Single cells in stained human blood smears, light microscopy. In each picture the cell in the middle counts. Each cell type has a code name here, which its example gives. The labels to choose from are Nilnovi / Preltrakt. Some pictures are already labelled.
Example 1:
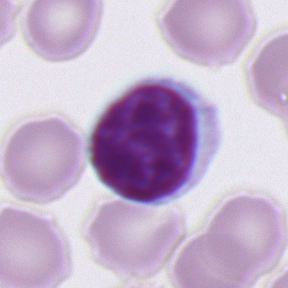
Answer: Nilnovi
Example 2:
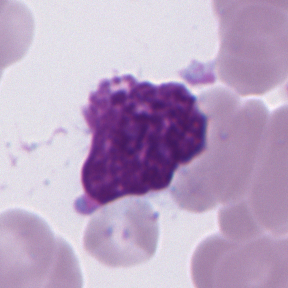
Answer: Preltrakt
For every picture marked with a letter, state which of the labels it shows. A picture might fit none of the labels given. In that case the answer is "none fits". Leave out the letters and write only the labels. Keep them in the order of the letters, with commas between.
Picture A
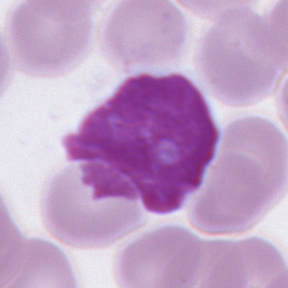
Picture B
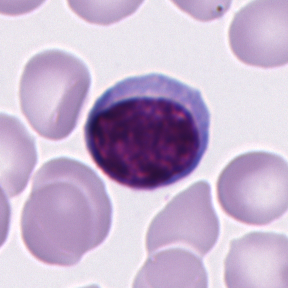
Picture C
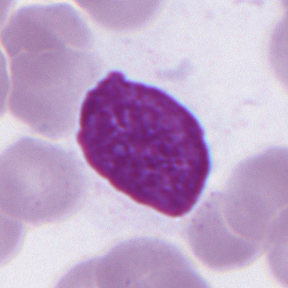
Preltrakt, Nilnovi, Preltrakt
